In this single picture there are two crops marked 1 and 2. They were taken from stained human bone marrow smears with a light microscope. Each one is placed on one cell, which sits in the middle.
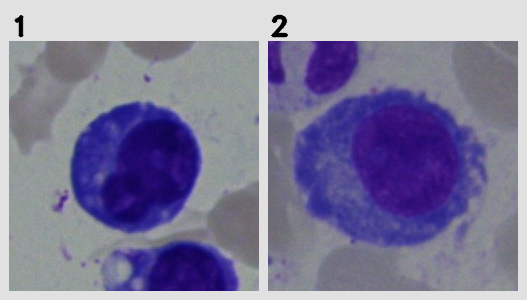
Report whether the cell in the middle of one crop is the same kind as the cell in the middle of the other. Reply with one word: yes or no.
yes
